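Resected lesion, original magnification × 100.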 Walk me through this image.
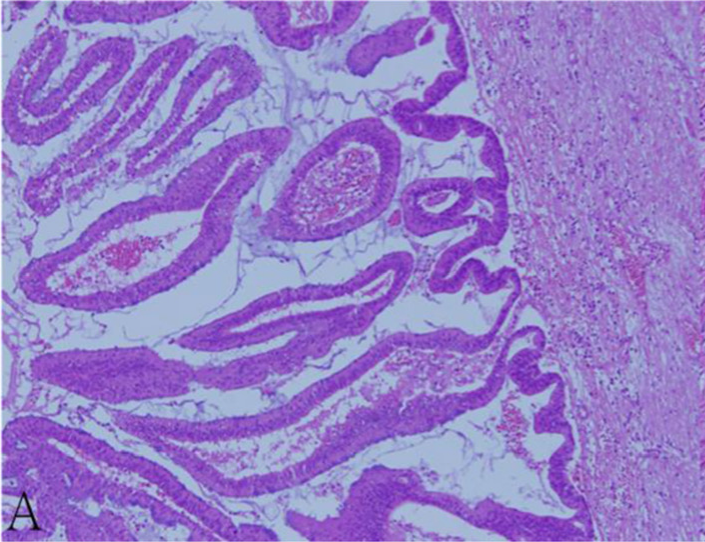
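This is a tumour made of columnar epithelial cells that line long, branching papillary fronds. The fronds have slender cores, and some of the spaces between them hold red blood cells and pale, wispy material.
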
